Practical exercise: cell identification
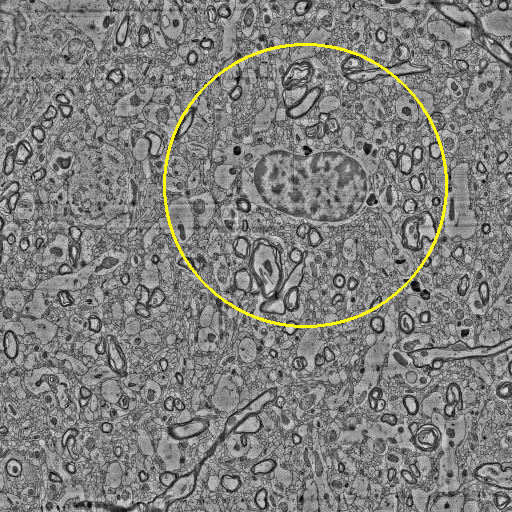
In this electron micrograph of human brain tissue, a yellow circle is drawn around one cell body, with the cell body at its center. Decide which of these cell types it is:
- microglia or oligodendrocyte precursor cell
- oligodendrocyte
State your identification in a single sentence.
The ringed cell is a microglial cell or oligodendrocyte precursor cell.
